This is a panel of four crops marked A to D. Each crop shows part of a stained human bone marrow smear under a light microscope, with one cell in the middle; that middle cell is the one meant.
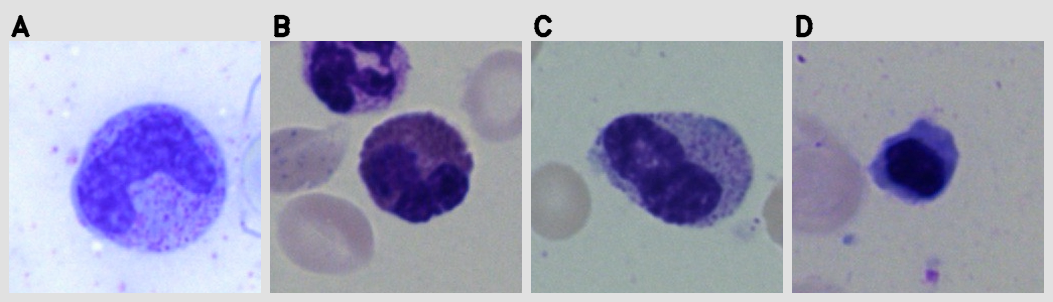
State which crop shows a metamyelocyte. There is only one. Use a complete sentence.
Crop C is the one that shows a metamyelocyte.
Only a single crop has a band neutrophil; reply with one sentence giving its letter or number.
Among all the crops given here, the one with a band neutrophil is crop A.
